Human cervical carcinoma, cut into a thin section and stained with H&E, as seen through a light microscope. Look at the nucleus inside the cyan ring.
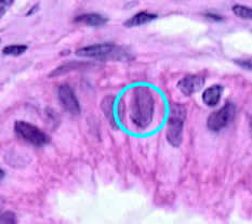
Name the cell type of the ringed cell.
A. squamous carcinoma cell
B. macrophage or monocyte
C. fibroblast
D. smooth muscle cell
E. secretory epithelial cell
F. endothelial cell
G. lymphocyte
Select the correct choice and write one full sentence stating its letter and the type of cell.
Here the right answer is E, with the ringed cell being a secretory epithelial cell.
